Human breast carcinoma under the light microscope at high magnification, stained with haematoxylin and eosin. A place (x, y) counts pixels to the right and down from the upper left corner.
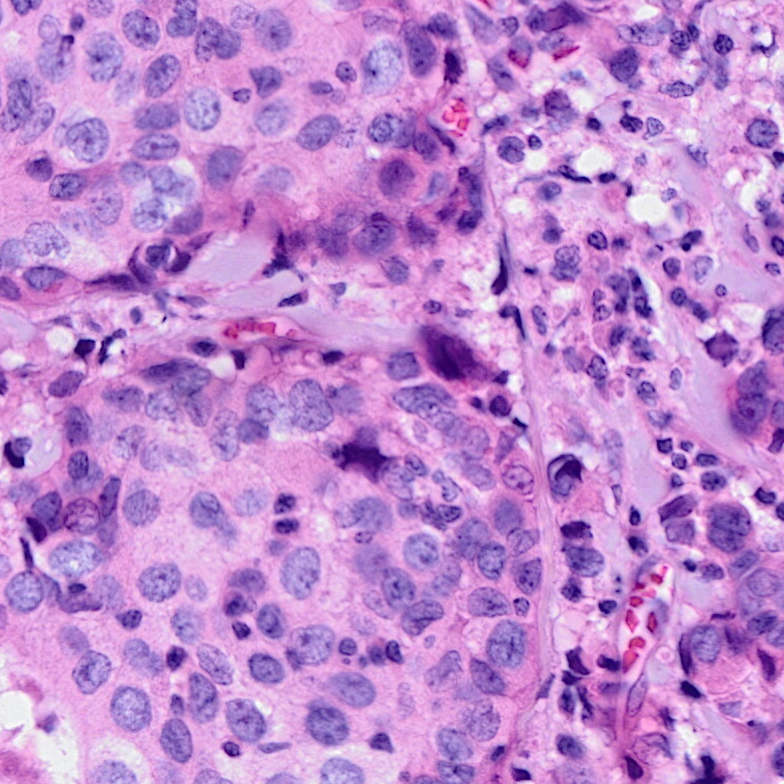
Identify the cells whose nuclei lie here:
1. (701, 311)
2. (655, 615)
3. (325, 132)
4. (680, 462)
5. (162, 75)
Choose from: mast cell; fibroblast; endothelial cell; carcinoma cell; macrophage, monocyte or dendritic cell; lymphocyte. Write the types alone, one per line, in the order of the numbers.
lymphocyte
endothelial cell
carcinoma cell
lymphocyte
carcinoma cell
